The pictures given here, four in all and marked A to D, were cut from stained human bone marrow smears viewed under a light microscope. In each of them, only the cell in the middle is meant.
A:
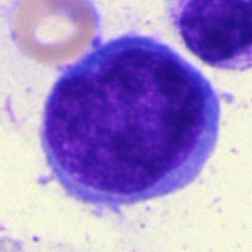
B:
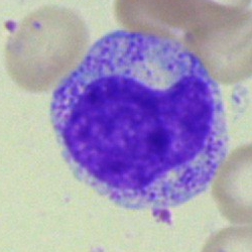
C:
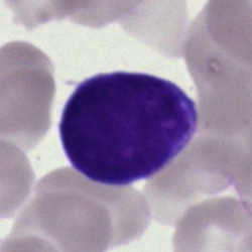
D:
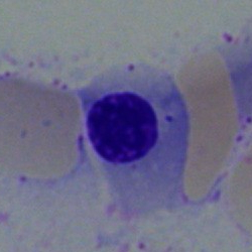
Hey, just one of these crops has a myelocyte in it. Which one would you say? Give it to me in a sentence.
It is in crop B, among all the crops, that a myelocyte is present.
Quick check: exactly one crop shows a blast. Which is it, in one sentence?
The crop in which a blast is shown is crop A.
